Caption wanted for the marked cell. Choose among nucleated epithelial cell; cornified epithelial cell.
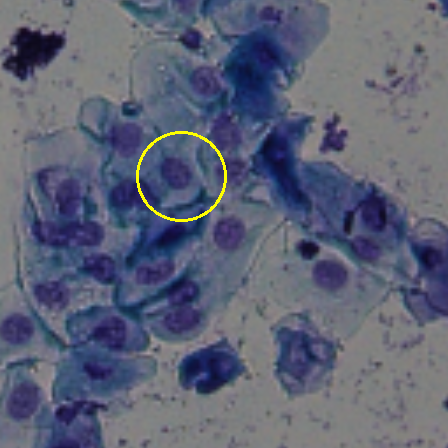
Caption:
Ringed in yellow is a nucleated epithelial cell.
